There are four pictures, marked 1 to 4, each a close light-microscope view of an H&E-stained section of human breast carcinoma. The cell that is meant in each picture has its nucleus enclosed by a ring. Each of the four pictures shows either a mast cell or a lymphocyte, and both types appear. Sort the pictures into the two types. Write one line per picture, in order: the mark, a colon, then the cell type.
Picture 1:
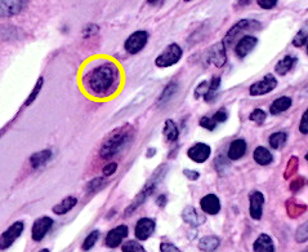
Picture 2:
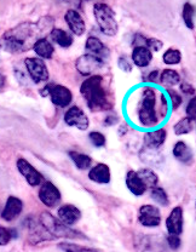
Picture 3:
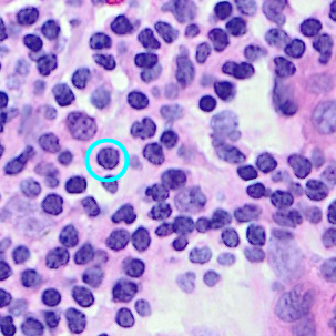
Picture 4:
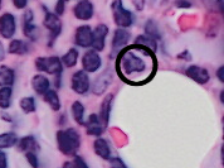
1: mast cell
2: lymphocyte
3: lymphocyte
4: lymphocyte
